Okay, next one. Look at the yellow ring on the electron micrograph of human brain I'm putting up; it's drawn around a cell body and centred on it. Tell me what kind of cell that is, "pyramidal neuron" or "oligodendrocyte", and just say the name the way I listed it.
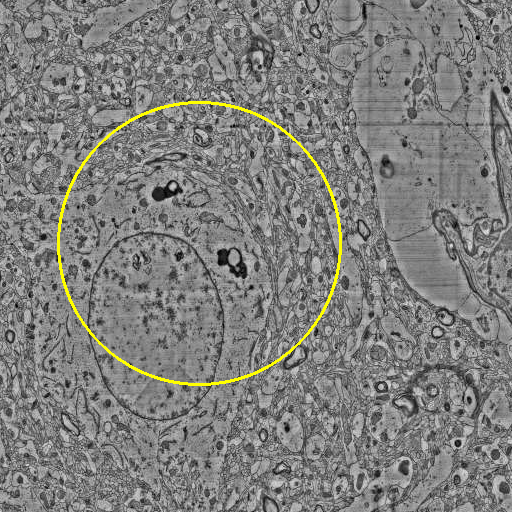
pyramidal neuron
